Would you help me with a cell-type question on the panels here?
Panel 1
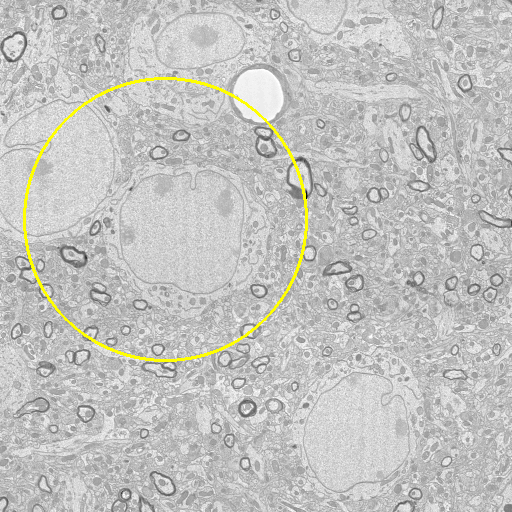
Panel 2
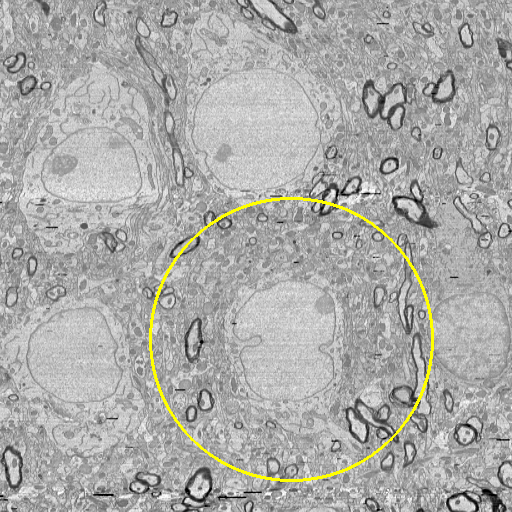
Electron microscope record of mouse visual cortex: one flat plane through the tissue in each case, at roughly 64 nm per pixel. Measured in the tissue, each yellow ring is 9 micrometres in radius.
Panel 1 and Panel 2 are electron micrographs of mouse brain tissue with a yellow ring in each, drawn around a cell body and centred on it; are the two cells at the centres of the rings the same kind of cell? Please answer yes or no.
yes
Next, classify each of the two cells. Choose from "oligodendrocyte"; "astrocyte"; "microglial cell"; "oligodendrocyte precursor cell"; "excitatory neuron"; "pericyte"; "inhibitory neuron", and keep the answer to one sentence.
The second cell is an excitatory neuron, just as the first is.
